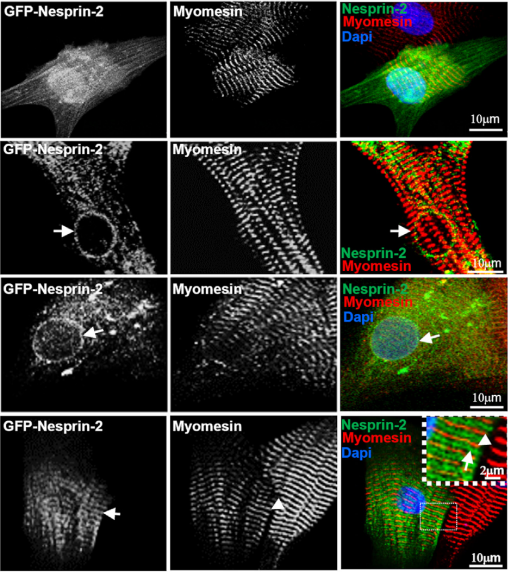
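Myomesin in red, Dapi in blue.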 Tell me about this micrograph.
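In some cells the green outlines a ring around the oval blue nucleus, while in others the green forms its own striations lying between the red bands. A boxed, enlarged inset shows the green and red bands alternating side by side.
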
